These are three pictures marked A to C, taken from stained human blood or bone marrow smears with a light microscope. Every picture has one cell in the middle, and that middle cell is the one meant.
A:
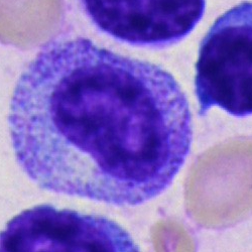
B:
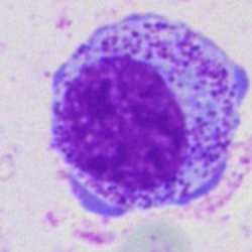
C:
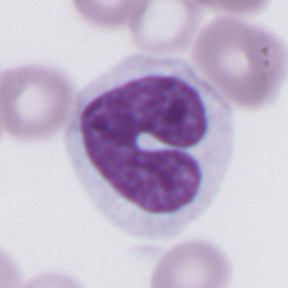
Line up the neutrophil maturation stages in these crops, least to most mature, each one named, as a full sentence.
By maturity, starting with the least mature, the order is crop B (a promyelocyte), crop A (a myelocyte) and crop C (a band neutrophil).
